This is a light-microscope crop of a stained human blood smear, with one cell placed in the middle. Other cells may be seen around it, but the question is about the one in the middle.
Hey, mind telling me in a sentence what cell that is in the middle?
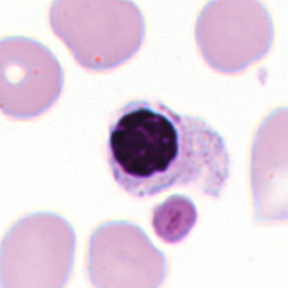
The middle cell in this particular crop is a normoblast.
